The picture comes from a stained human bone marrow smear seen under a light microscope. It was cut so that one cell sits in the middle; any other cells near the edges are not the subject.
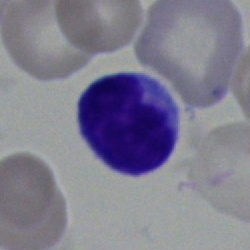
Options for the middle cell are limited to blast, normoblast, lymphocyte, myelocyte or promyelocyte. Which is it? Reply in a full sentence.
Classified as a lymphocyte is the cell in the middle of this crop.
